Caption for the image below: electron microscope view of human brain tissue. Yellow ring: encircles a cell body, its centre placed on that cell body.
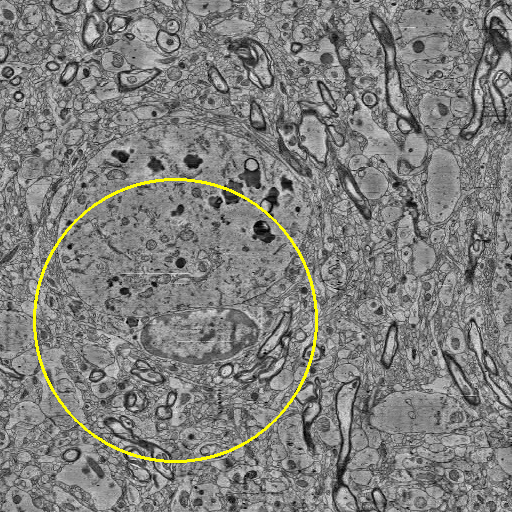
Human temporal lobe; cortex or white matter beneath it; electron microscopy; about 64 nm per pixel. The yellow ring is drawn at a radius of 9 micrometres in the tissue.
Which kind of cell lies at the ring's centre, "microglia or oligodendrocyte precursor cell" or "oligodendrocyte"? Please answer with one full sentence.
The picture shows a microglial cell or oligodendrocyte precursor cell at the centre of the yellow ring.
